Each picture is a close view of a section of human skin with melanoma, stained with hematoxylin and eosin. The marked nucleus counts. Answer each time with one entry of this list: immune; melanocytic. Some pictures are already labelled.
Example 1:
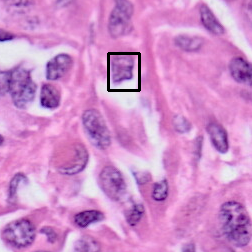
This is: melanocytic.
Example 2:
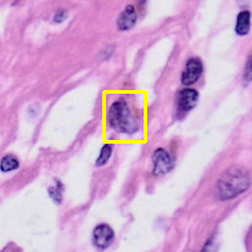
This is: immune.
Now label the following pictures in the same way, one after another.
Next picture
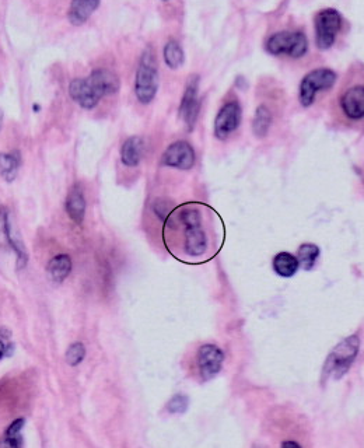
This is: immune.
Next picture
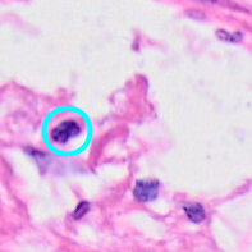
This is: immune.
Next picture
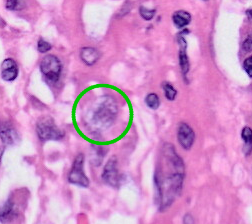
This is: melanocytic.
